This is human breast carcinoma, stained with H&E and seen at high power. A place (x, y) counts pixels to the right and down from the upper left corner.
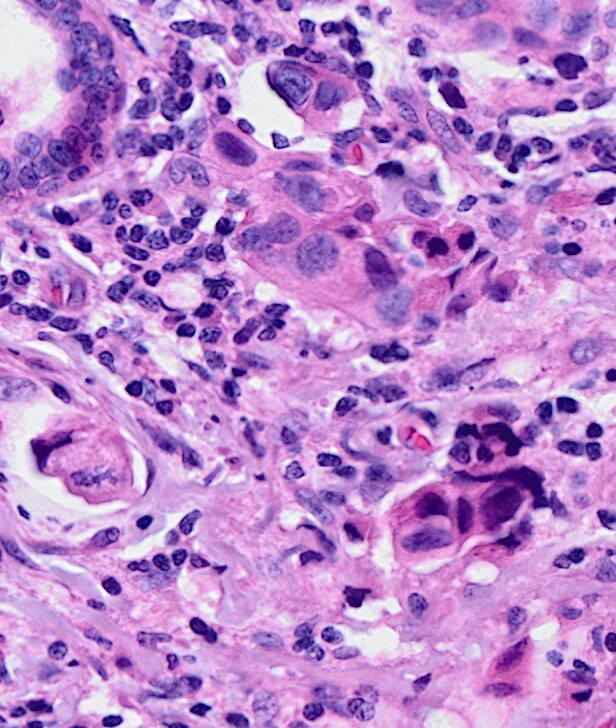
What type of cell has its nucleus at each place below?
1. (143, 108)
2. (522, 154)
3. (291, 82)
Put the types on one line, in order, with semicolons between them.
lymphocyte; lymphocyte; carcinoma cell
